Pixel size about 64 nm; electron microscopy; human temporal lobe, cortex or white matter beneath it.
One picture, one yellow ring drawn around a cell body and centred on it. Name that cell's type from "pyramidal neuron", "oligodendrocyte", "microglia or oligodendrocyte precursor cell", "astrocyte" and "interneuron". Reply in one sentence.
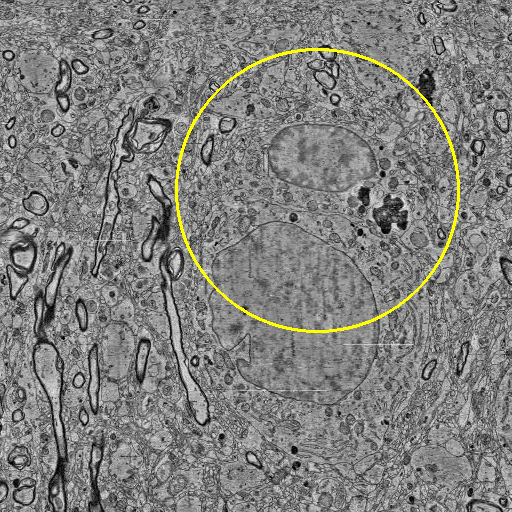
Centred in the ring is an oligodendrocyte.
